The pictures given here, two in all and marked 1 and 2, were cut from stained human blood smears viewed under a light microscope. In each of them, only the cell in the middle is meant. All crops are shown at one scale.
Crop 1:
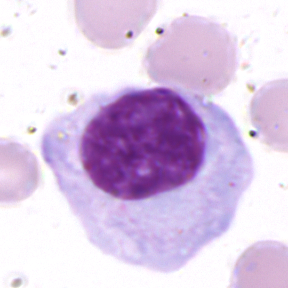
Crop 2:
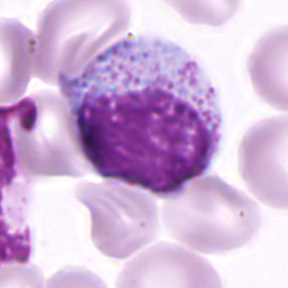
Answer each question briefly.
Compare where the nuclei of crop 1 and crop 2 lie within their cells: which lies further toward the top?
1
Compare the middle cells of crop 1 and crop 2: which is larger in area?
1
